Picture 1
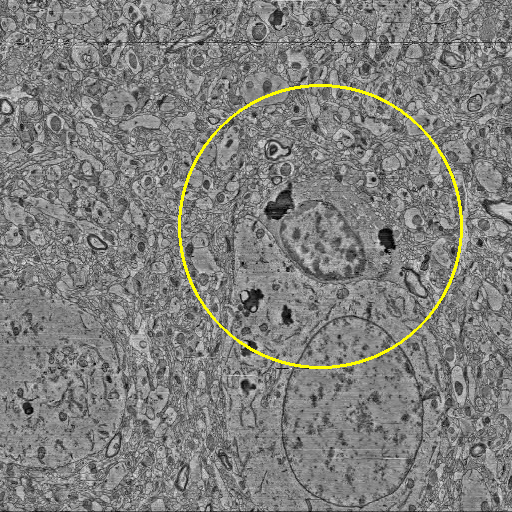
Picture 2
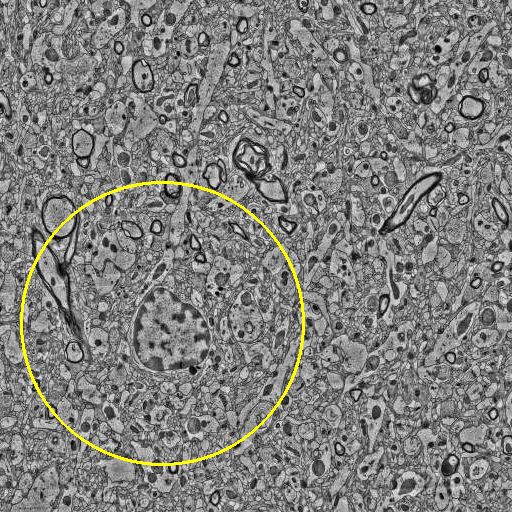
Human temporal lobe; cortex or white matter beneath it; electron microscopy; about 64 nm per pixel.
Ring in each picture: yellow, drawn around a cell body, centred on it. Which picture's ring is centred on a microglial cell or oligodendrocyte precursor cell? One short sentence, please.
Picture 2 is the one.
